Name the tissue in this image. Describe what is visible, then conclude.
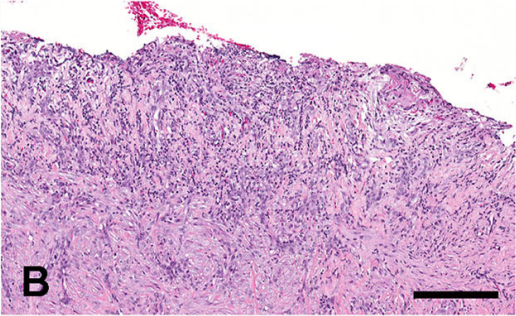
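Loose tissue of spindle-shaped cells with many scattered small round nuclei. No surface epithelium covers the tissue. Dense mixed inflammatory cells lie toward the surface. The answer: granulation tissue.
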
